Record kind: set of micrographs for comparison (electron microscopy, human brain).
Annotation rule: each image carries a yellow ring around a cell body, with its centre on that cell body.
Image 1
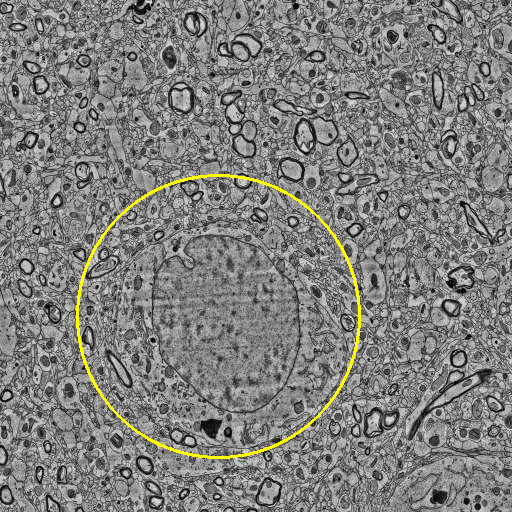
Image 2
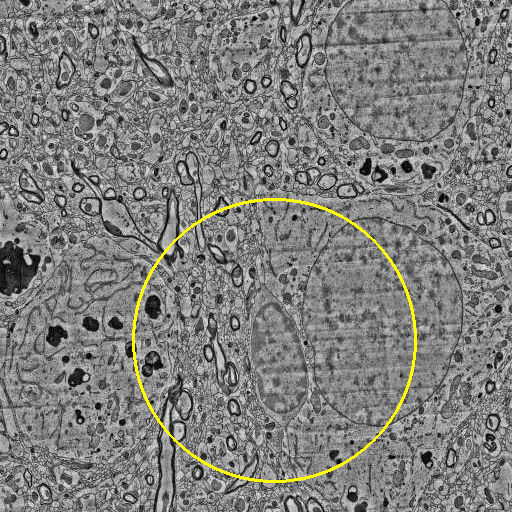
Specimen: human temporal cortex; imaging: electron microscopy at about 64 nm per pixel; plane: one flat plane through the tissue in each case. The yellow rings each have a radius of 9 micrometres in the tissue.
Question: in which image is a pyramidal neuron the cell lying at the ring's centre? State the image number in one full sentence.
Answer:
In image 1, the ring is centred on the cell in question.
